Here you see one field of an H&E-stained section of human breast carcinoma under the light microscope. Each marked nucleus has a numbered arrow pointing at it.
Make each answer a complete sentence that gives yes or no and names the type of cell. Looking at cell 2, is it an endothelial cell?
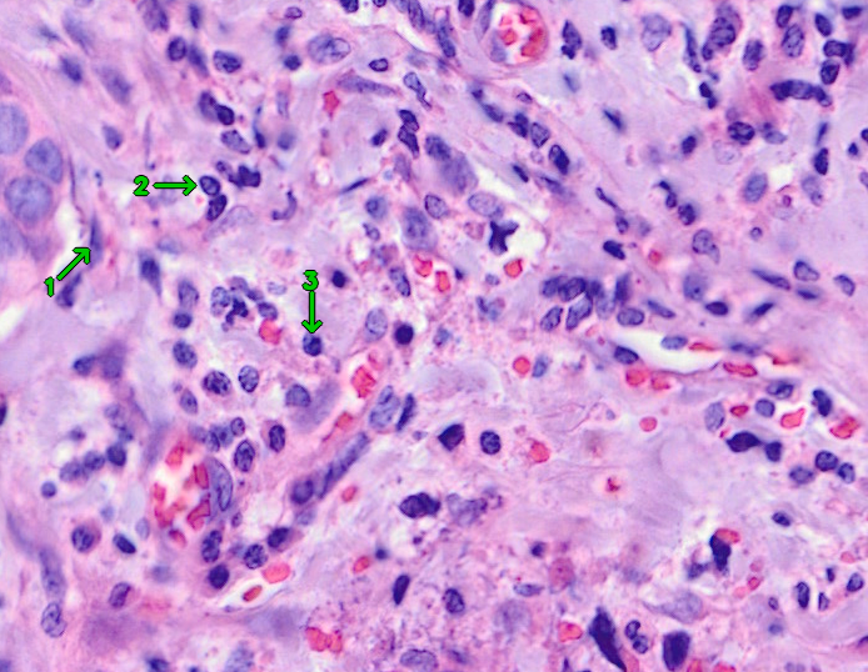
No, the marked cell 2 is not an endothelial cell, being instead a lymphocyte.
